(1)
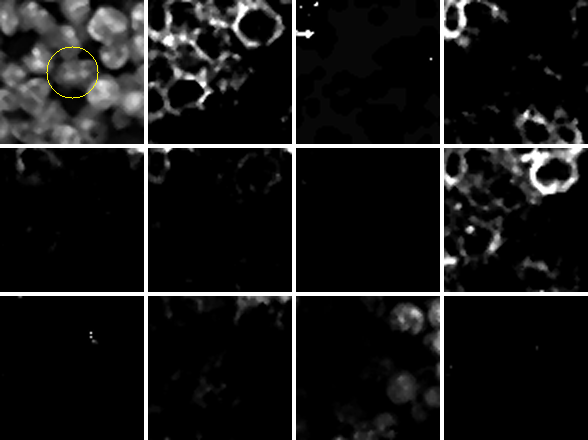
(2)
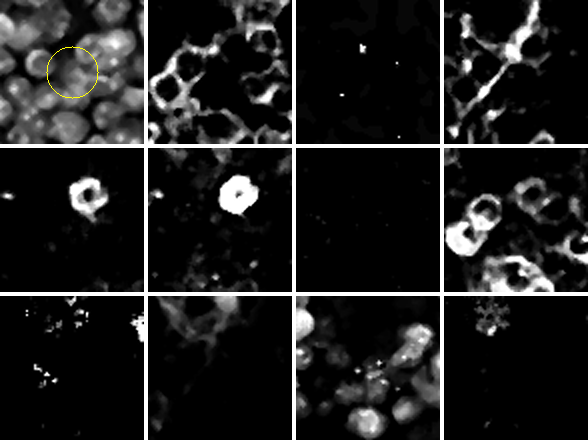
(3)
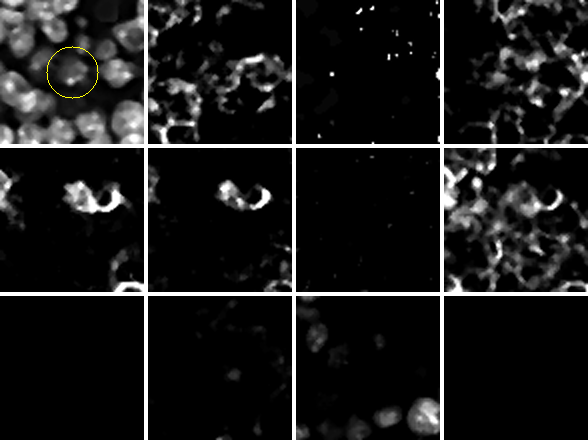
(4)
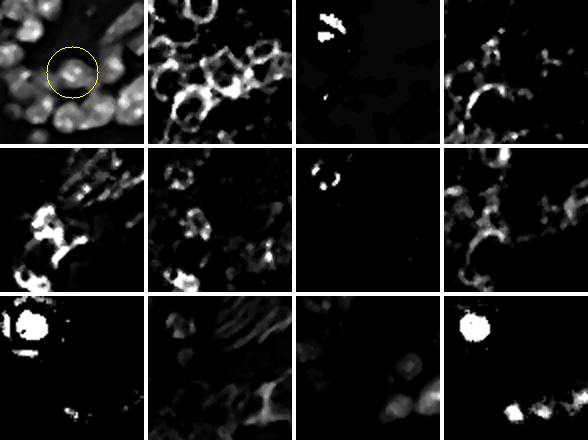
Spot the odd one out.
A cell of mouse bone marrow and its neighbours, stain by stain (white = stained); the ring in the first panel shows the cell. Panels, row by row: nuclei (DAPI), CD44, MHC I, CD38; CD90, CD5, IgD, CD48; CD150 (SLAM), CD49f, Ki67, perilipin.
Picture 2 (a capillary endothelial cell among neutrophils).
